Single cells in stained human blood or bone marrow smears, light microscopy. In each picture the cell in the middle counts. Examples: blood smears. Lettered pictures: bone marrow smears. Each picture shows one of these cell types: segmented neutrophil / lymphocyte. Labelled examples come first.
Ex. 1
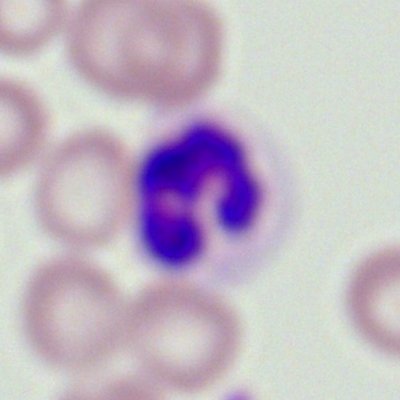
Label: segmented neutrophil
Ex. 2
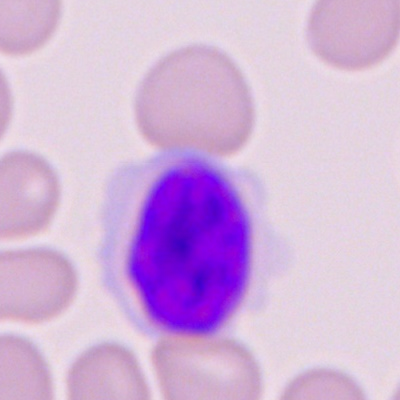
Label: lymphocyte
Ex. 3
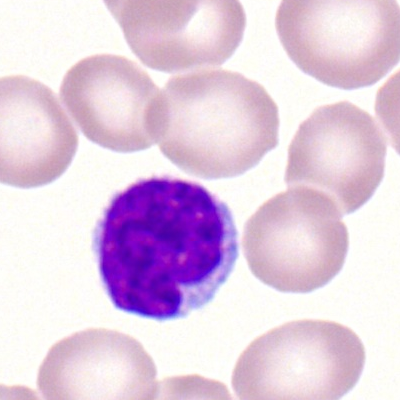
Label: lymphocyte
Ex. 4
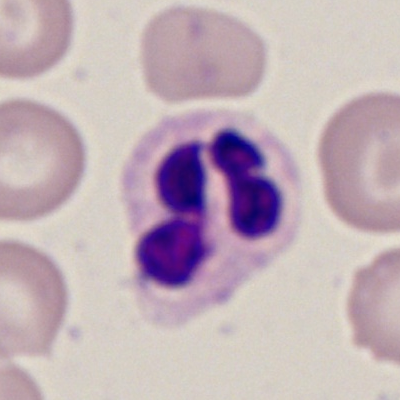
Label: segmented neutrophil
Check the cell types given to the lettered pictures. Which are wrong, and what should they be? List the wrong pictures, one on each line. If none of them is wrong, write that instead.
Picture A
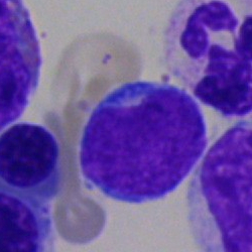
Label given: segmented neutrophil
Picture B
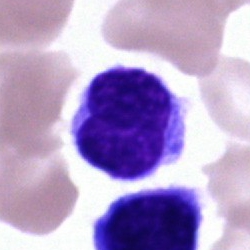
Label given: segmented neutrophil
A is labelled segmented neutrophil; correct label: lymphocyte
B is labelled segmented neutrophil; correct label: lymphocyte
